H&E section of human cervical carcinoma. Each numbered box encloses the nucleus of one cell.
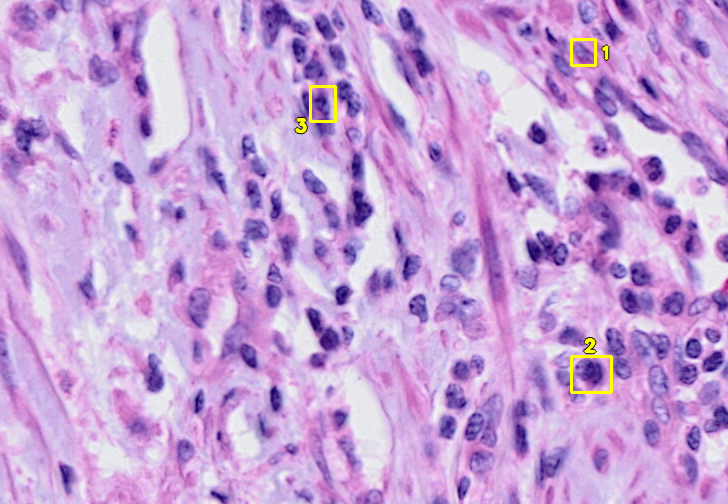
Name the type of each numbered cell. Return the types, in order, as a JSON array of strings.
["smooth muscle cell", "lymphocyte", "lymphocyte"]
